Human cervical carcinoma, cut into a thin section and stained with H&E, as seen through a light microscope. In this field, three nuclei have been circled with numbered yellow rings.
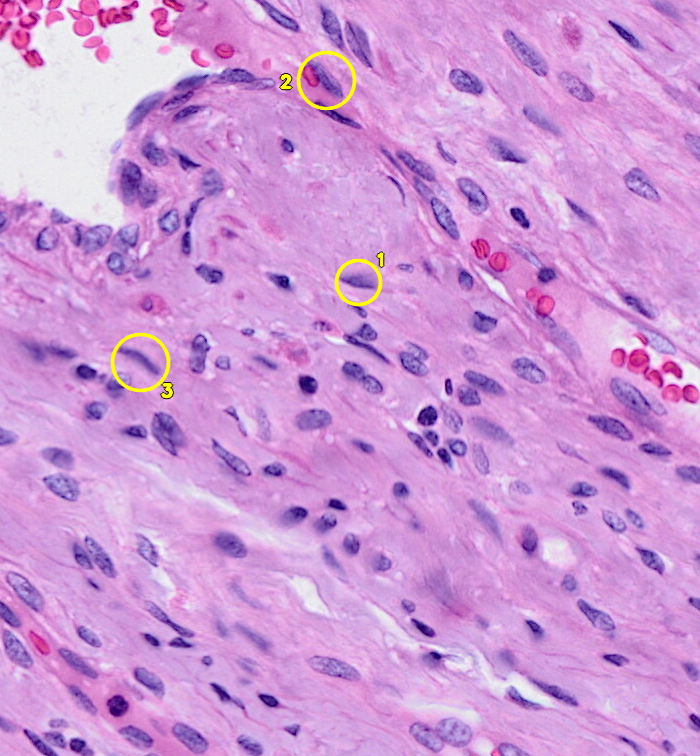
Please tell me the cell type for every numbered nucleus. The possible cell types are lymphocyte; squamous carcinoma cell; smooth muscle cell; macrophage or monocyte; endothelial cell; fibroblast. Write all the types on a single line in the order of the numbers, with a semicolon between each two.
fibroblast; endothelial cell; fibroblast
